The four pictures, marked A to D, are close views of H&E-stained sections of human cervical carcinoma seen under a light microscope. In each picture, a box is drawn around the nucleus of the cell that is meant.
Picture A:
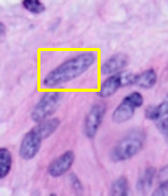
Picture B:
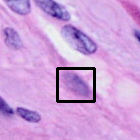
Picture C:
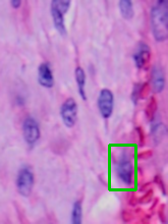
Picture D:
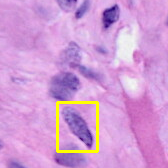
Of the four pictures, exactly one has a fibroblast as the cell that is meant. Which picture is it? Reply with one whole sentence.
It is picture D that shows the fibroblast.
